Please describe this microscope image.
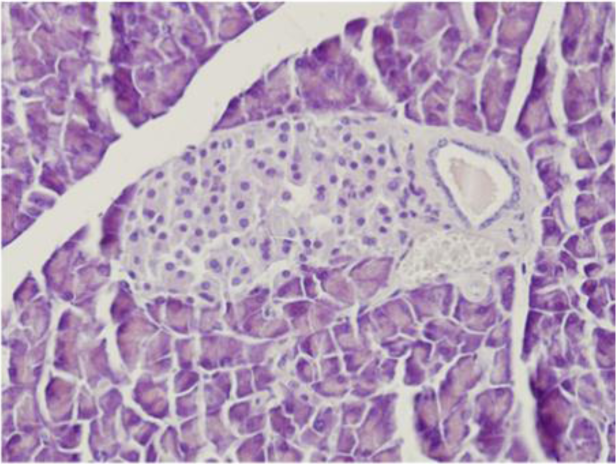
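This is pancreatic tissue with an elongated islet lying among exocrine acini. The islet consists of pale-staining cells with small round purple nuclei, contrasting with the darker purple-pink acinar cells around it. At the right end of the islet lies a small duct or vessel with a thin epithelial lining and pale pink content in its lumen, with some loose connective tissue next to it. A clear empty band crosses the upper left of the field, a space between tissue lobules. The acinar tissue is arranged in compact glandular groups separated by narrow clefts.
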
